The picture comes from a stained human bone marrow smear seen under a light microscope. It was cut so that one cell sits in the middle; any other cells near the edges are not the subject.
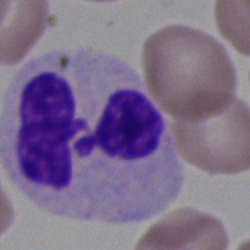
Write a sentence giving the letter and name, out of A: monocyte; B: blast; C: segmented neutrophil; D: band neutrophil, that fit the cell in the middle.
Option C is right, the centrally situated cell being a segmented neutrophil.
